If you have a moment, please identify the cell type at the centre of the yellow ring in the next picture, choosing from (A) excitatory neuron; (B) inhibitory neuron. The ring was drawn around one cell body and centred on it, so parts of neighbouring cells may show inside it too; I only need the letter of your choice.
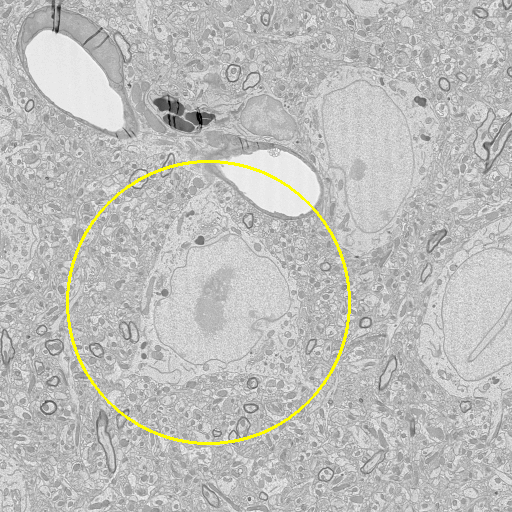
A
